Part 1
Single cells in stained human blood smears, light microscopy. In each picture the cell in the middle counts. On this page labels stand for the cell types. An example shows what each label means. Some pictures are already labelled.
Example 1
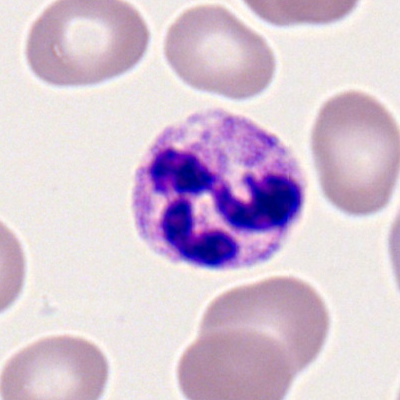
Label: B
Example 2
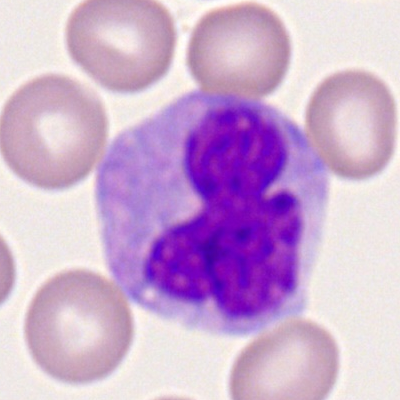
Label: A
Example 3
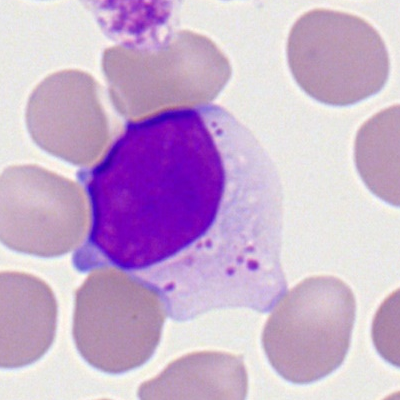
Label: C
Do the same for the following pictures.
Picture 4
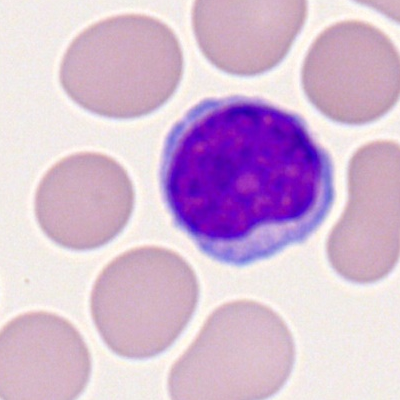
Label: C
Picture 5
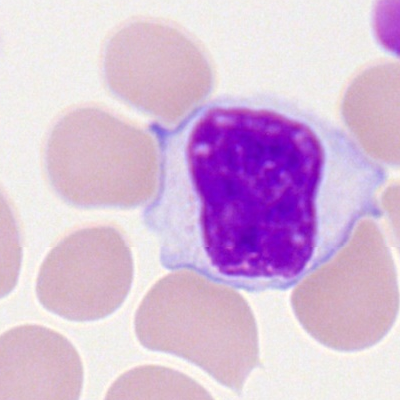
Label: C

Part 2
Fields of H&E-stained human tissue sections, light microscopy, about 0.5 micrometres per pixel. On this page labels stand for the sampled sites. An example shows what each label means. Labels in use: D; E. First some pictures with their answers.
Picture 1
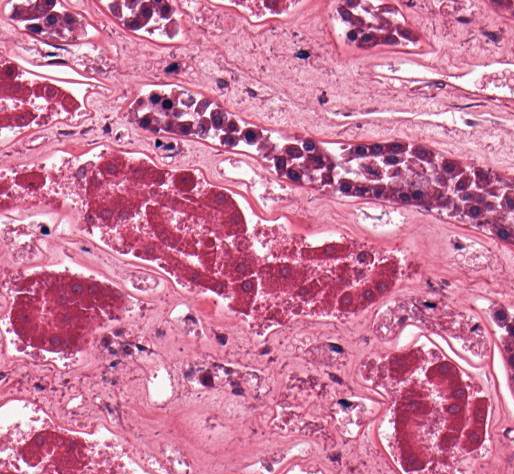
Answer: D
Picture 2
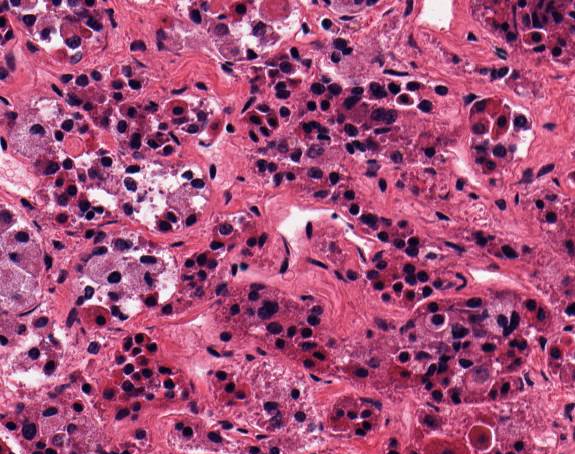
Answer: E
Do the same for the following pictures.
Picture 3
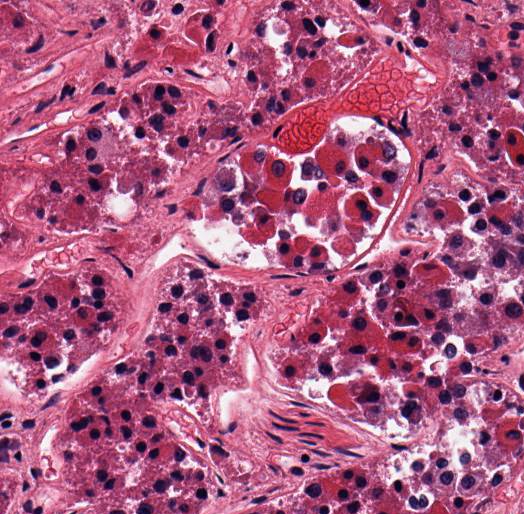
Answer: E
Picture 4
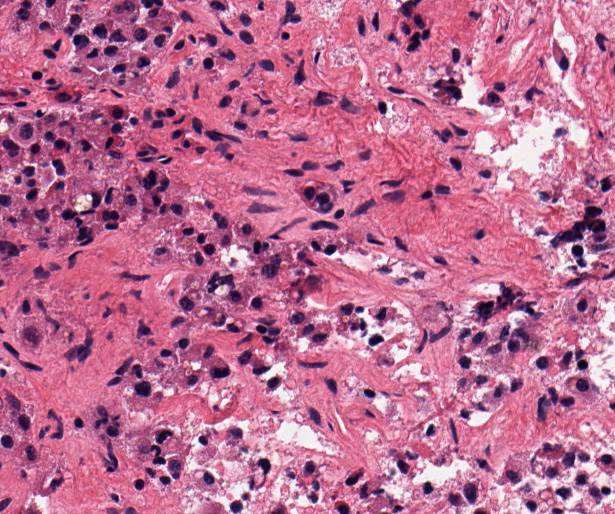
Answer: E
